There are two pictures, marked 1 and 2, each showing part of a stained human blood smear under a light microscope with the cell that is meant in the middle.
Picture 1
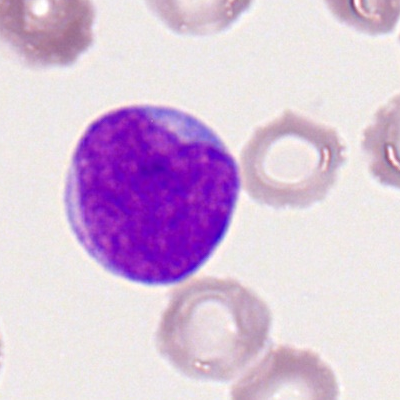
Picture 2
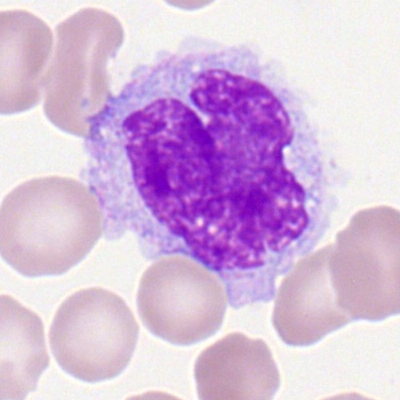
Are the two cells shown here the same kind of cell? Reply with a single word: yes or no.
no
